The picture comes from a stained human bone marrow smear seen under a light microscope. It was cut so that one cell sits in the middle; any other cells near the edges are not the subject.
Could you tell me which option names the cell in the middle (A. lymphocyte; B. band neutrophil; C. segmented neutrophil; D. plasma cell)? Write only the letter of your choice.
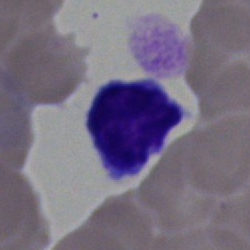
A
